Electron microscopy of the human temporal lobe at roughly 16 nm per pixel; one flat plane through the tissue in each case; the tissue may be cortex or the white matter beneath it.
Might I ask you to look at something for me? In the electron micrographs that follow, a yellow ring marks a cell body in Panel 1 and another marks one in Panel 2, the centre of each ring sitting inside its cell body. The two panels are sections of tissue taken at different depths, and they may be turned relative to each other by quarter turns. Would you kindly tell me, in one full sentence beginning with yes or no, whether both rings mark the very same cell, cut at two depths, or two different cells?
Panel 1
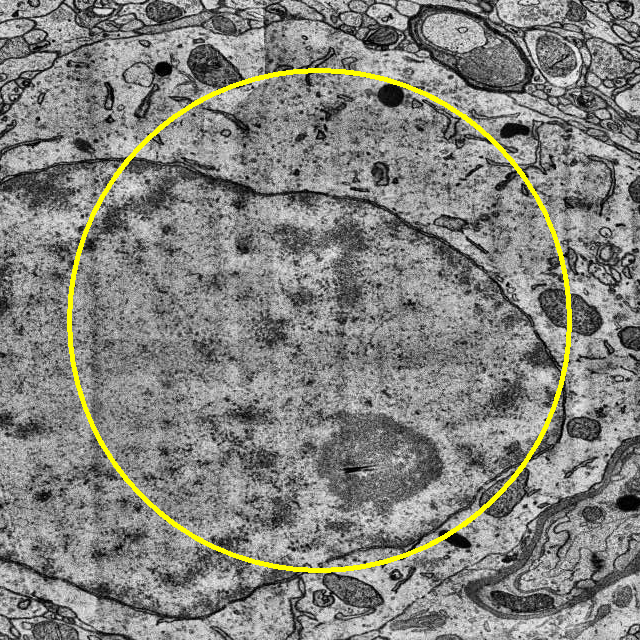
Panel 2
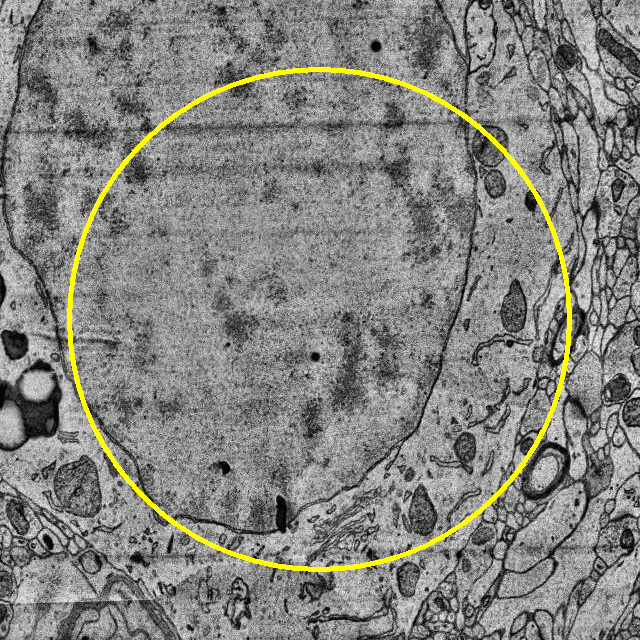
Yes, the two rings encircle a single cell, not a pair.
